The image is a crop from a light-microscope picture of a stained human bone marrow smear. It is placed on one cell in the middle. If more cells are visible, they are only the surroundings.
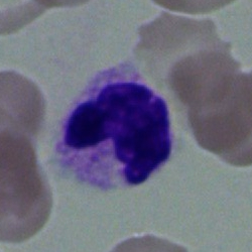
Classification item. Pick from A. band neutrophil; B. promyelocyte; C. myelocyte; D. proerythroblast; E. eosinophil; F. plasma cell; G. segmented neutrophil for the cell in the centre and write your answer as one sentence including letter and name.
In this crop the middle cell is a segmented neutrophil, so option G is the correct answer.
